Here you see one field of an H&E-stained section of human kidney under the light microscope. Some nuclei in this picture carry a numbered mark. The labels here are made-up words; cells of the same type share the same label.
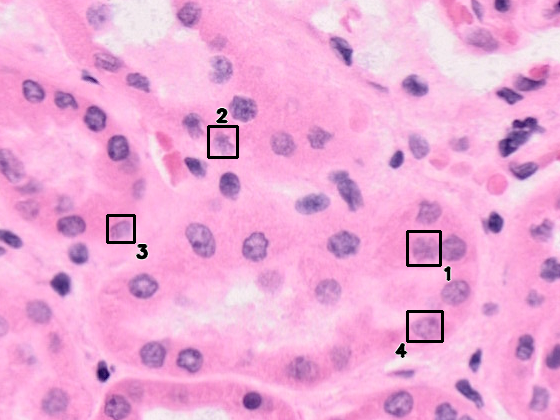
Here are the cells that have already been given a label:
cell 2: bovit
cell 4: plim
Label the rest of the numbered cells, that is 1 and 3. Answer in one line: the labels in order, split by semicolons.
plim; plim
